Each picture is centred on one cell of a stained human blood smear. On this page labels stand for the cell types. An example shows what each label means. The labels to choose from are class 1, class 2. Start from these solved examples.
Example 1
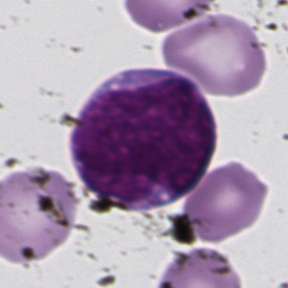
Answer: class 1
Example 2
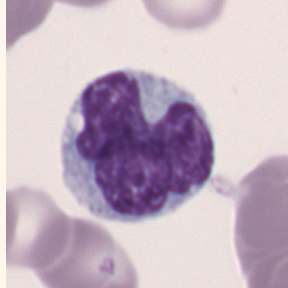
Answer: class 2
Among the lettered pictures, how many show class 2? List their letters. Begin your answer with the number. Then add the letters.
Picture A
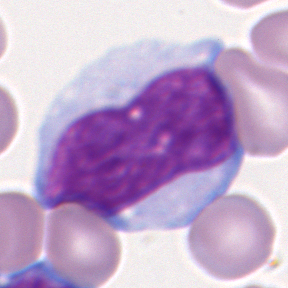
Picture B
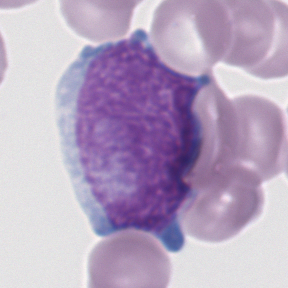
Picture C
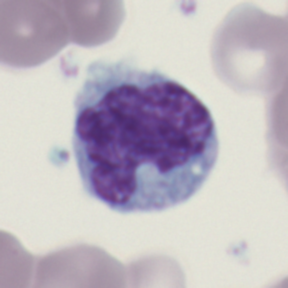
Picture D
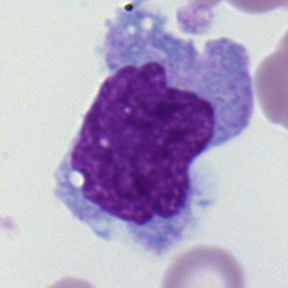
2: C, D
